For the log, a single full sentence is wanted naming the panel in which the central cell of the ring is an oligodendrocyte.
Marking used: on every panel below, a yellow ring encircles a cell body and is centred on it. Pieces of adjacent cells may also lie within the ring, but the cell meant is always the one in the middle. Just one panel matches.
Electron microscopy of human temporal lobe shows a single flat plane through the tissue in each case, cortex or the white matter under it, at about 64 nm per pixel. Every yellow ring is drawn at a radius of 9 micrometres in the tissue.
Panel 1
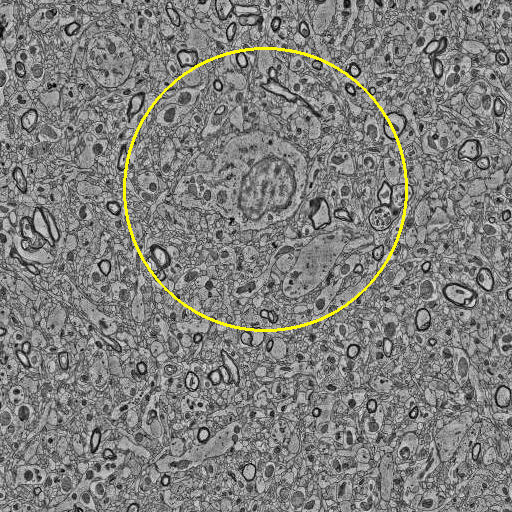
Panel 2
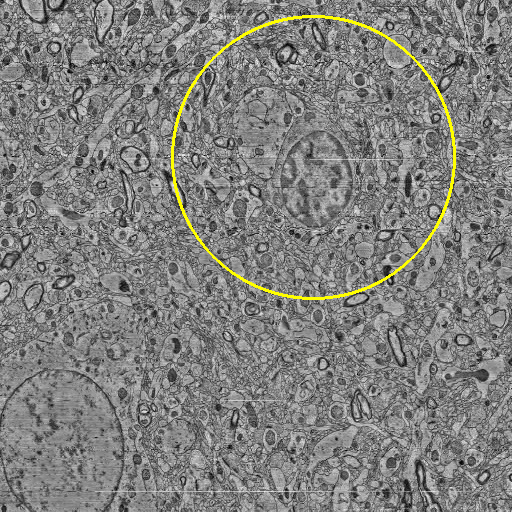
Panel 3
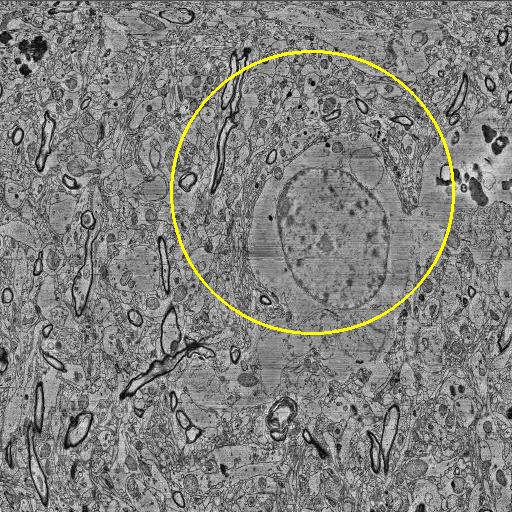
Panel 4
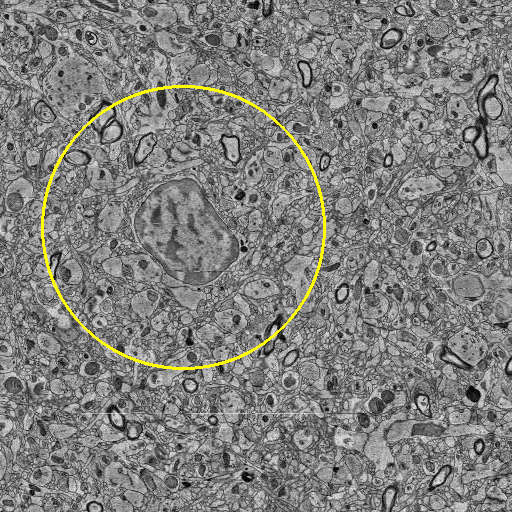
The cell in the middle of the ring in panel 2 is the one asked for.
